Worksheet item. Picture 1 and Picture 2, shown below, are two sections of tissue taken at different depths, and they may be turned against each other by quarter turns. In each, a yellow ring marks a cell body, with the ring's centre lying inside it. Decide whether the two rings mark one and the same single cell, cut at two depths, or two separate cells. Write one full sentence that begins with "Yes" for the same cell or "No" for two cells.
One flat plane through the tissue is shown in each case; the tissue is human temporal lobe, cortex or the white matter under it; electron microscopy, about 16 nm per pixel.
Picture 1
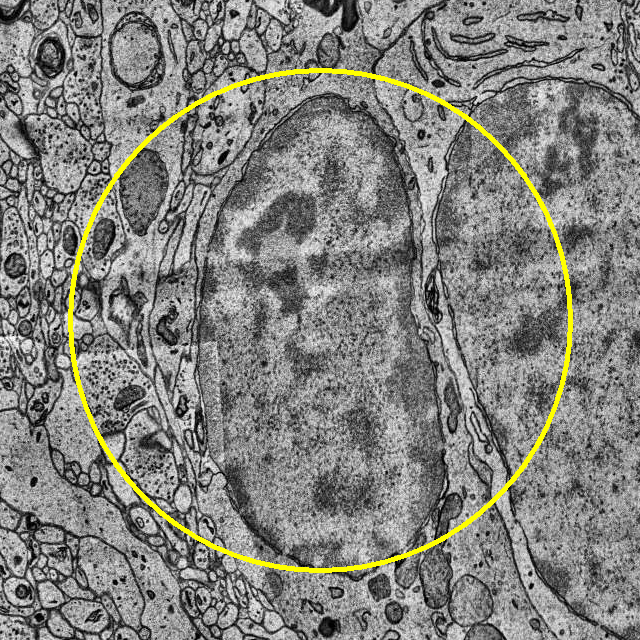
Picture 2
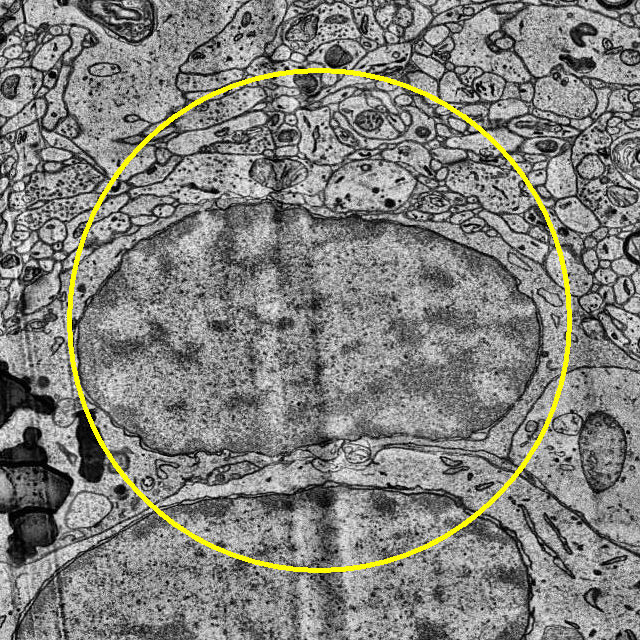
Yes, the two rings refer to one cell in the tissue.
